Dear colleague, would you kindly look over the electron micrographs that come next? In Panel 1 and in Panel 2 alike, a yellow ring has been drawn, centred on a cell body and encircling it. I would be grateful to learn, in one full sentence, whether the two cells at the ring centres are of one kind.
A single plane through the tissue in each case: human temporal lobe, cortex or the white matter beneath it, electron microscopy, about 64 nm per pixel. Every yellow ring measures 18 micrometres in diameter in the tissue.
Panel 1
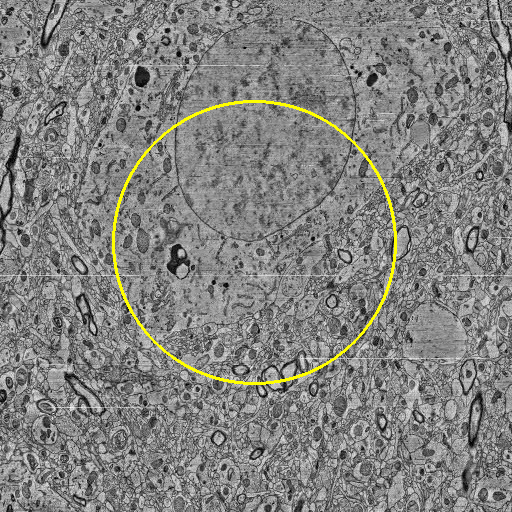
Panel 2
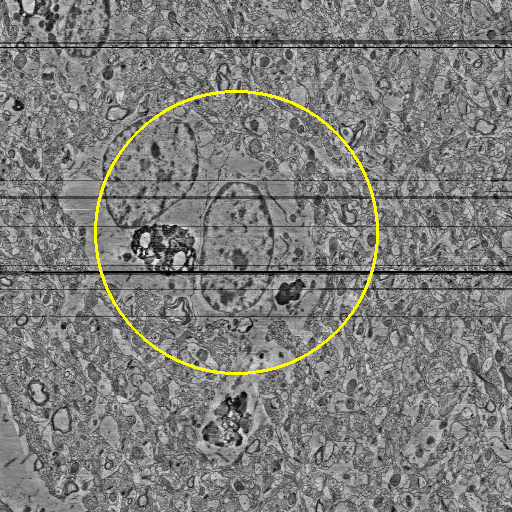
No, the cells in the middle of the rings in the two panels are of two kinds.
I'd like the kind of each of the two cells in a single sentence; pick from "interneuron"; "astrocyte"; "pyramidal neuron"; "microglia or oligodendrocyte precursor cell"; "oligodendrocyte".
The first ring marks a pyramidal neuron, and the second ring marks an astrocyte.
